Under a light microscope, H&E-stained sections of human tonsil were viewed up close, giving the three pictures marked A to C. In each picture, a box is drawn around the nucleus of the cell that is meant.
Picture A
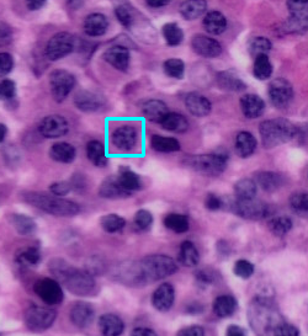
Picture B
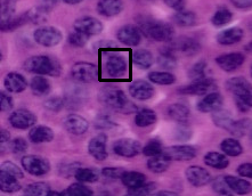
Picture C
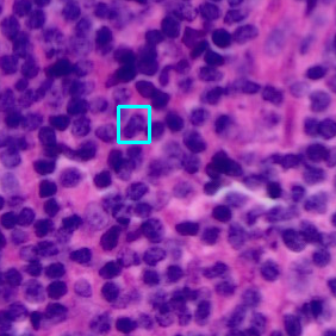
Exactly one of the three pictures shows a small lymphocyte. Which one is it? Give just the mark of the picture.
C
